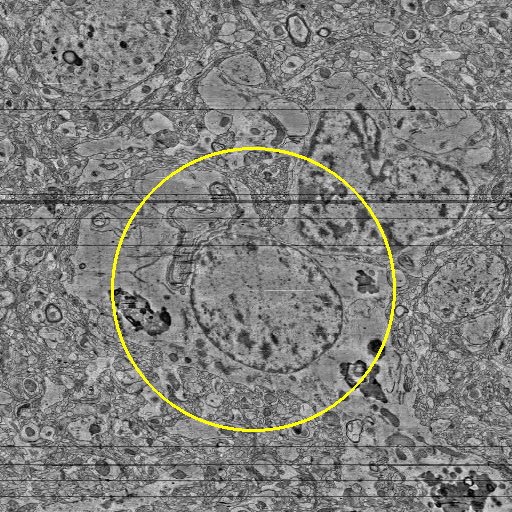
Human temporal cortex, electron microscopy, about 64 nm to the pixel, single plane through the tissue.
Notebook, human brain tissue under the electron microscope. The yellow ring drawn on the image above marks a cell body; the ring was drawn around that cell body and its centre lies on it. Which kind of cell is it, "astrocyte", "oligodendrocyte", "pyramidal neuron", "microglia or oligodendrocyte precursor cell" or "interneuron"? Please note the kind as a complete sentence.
The marked cell body is that of an astrocyte.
